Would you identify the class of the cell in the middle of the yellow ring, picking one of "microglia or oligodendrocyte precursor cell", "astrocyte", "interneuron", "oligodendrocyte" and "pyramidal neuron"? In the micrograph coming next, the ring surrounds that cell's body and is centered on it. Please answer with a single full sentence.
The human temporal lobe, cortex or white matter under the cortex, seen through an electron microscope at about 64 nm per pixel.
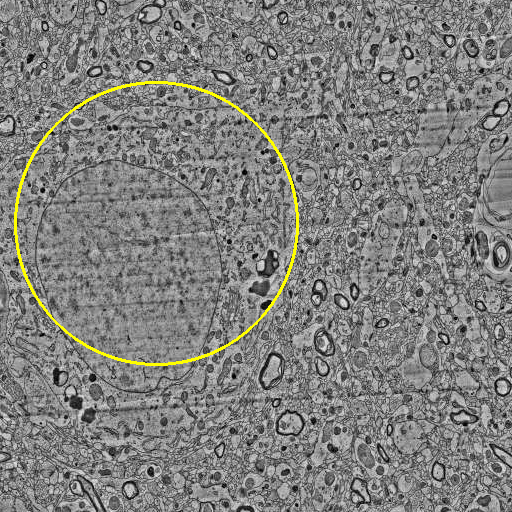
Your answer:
In the micrograph, it is a pyramidal neuron whose body lies at the ring's center.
